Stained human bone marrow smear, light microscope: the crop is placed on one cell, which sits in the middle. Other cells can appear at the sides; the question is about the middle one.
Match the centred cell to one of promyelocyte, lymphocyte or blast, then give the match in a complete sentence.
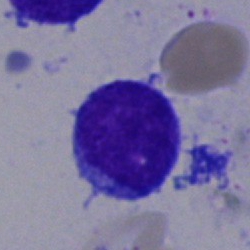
This crop is built around a blast at its centre.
